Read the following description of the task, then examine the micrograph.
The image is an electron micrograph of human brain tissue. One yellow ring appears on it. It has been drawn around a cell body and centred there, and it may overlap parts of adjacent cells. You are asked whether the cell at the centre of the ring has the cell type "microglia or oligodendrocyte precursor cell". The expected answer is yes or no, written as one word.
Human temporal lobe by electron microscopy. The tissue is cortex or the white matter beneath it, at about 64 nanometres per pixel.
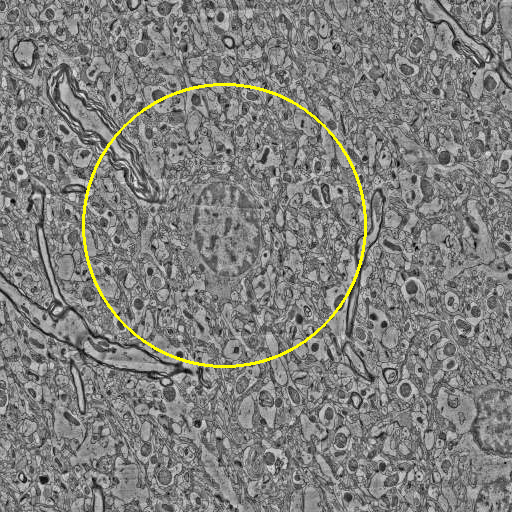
no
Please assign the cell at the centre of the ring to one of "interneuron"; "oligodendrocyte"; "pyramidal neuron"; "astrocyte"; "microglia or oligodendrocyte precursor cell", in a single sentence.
Instead, the ring in this picture marks an oligodendrocyte.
